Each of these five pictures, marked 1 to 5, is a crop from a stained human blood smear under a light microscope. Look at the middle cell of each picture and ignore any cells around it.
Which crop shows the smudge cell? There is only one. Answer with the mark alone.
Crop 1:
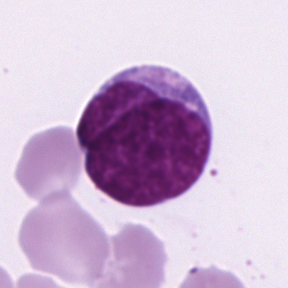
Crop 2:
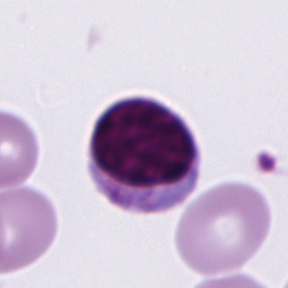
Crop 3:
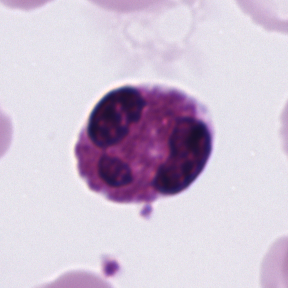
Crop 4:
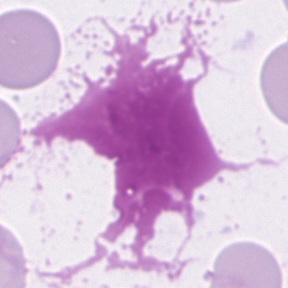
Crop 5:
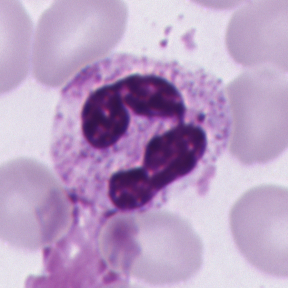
4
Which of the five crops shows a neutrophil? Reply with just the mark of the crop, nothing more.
5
